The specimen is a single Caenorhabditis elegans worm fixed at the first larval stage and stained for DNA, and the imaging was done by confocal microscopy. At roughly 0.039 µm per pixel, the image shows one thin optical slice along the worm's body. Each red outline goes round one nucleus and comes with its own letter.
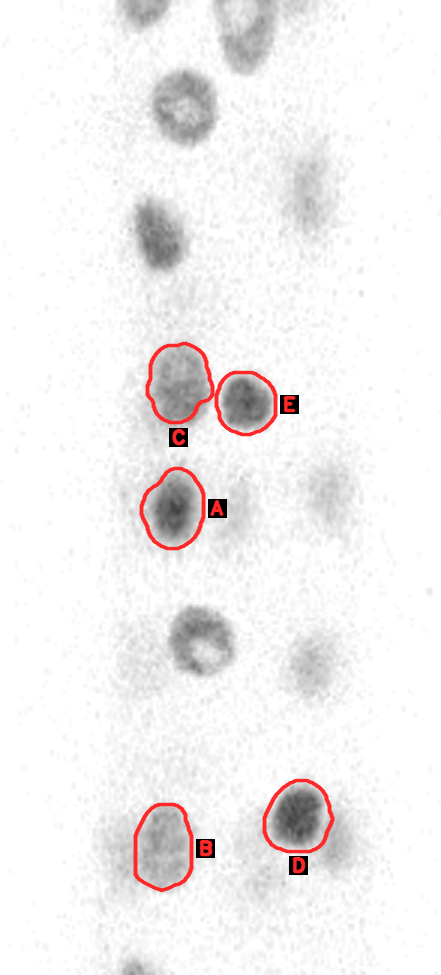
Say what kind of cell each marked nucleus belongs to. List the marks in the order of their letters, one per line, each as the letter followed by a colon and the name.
A: coelomocyte
B: P cell (ventral epidermal blast cell)
C: P cell (ventral epidermal blast cell)
D: hypodermal cell (hyp)
E: neuron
